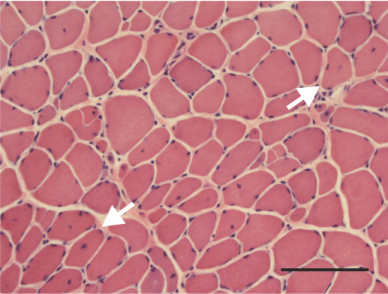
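This is skeletal muscle cut across, showing closely packed polygonal pink myofibers of varying size separated by thin pale gaps of connective tissue. Small dark purple nuclei sit mostly at the edges of the fibres, while a few fibres hold a nucleus inside rather than at the rim.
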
